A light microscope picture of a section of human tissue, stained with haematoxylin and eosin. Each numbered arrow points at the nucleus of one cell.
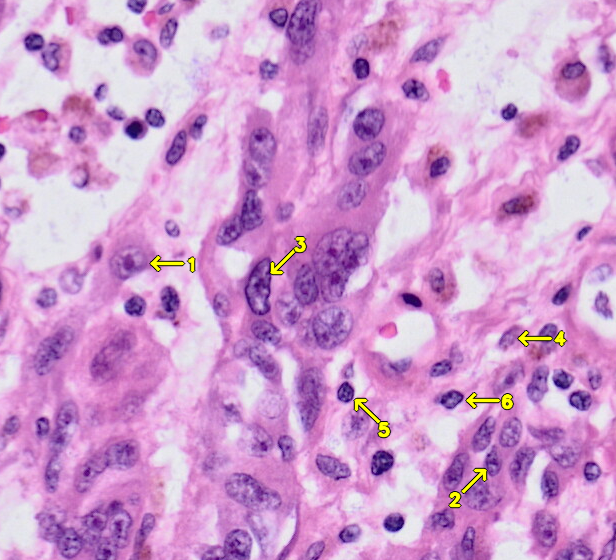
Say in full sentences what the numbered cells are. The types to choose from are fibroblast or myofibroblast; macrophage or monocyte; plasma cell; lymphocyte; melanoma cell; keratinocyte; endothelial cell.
Cell 1 is a melanoma cell, cell 2 is a melanoma cell, cell 3 is a melanoma cell, cell 4 is a macrophage or monocyte, cell 5 is a lymphocyte and cell 6 is a lymphocyte.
